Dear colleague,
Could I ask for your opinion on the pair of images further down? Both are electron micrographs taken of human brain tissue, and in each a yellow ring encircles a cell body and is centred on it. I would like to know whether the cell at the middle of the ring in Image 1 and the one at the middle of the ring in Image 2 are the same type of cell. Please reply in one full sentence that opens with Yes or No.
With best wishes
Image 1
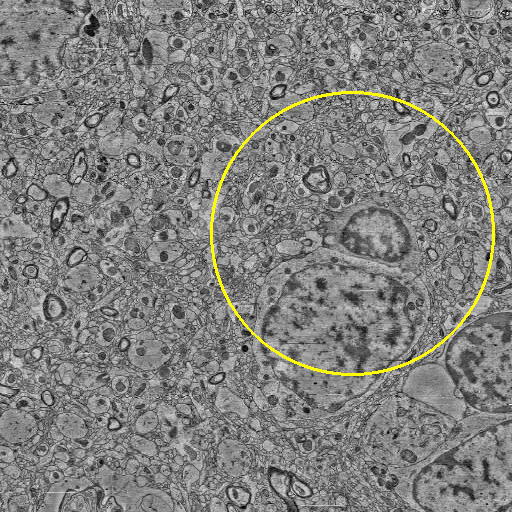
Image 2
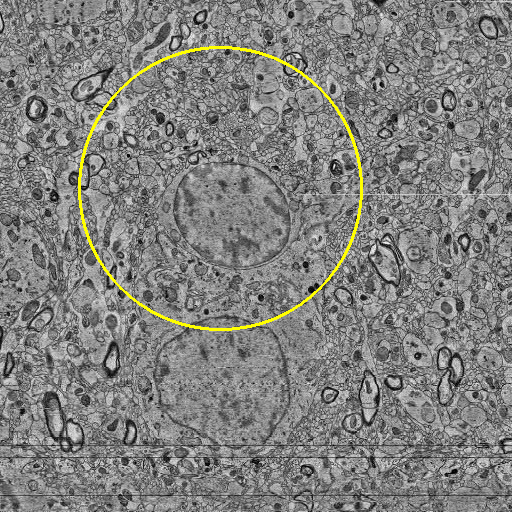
Yes, the cells at the ring centres in Image 1 and Image 2 are of one type.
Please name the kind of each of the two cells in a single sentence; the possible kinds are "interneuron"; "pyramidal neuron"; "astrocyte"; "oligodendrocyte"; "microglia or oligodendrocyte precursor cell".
Each cell, in the first picture and the second, is an oligodendrocyte.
